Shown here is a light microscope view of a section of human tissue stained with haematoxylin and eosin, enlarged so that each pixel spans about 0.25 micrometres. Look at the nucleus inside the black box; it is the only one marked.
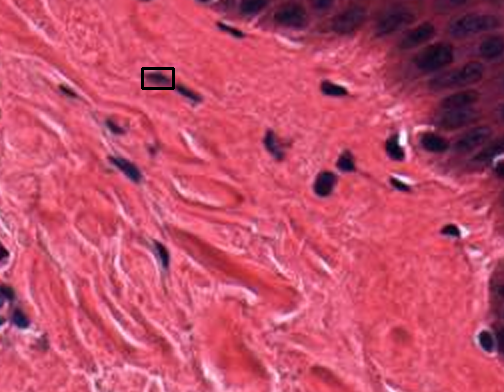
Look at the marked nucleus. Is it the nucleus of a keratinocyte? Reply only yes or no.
no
